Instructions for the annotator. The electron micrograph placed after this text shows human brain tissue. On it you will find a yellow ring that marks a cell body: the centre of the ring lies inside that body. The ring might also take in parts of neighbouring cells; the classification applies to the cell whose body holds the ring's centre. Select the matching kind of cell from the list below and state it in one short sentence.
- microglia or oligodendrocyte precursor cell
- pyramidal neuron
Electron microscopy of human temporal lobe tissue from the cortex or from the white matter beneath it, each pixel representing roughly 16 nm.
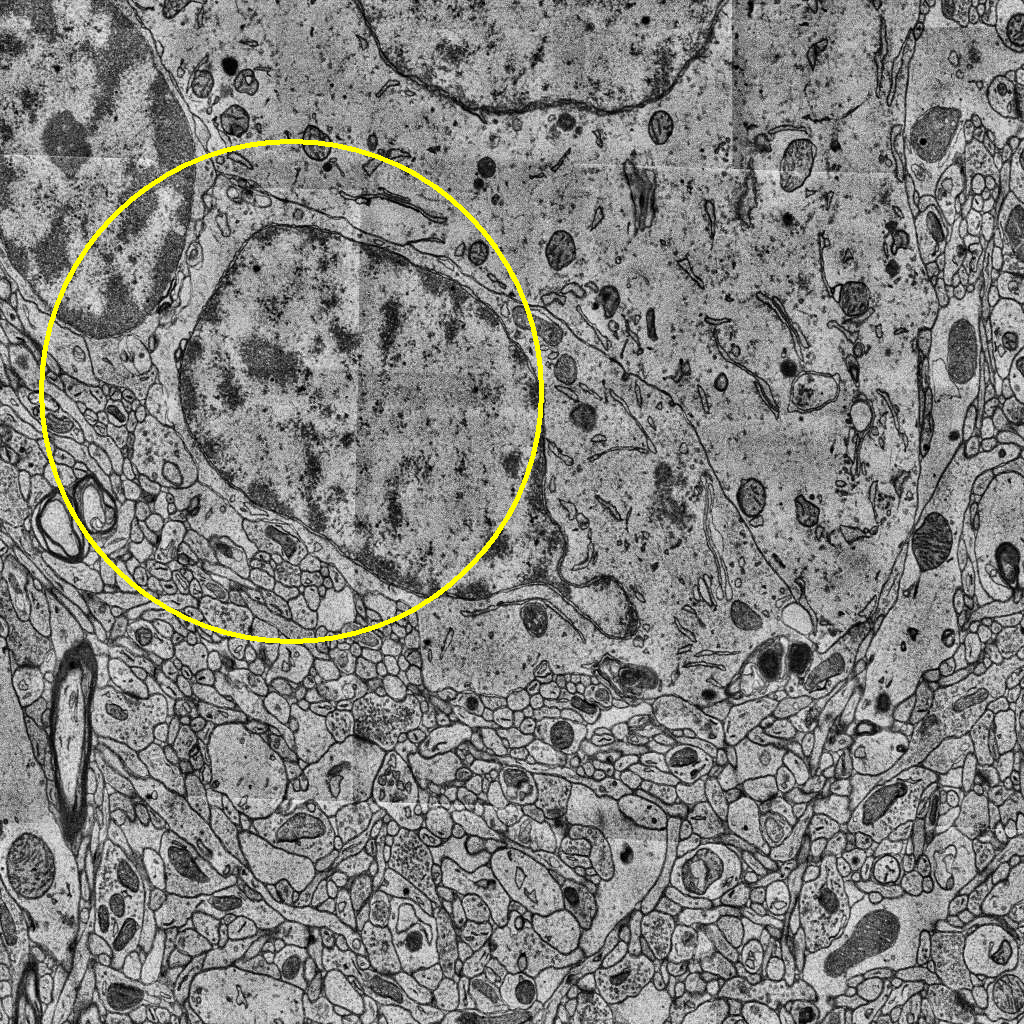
The centre of the ring lies in the cell body of a microglial cell or oligodendrocyte precursor cell.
